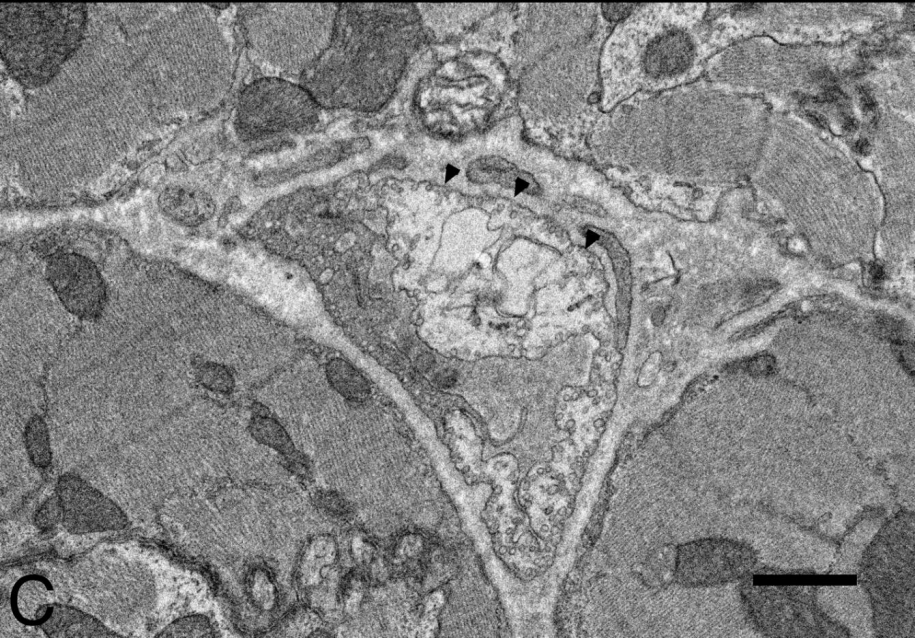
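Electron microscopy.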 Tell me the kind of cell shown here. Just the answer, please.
Capillary endothelial cells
